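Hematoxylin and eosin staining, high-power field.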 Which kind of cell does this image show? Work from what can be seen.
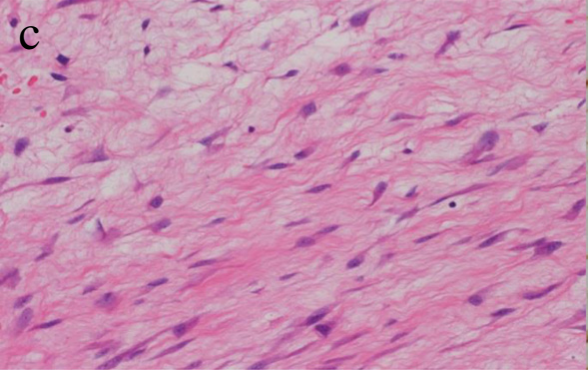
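Elongated, tapering purple nuclei lie scattered through the field. The cells run roughly parallel in one direction. Pale pink fibrillar matrix separates the cells.
Hence: spindle-shaped cells.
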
